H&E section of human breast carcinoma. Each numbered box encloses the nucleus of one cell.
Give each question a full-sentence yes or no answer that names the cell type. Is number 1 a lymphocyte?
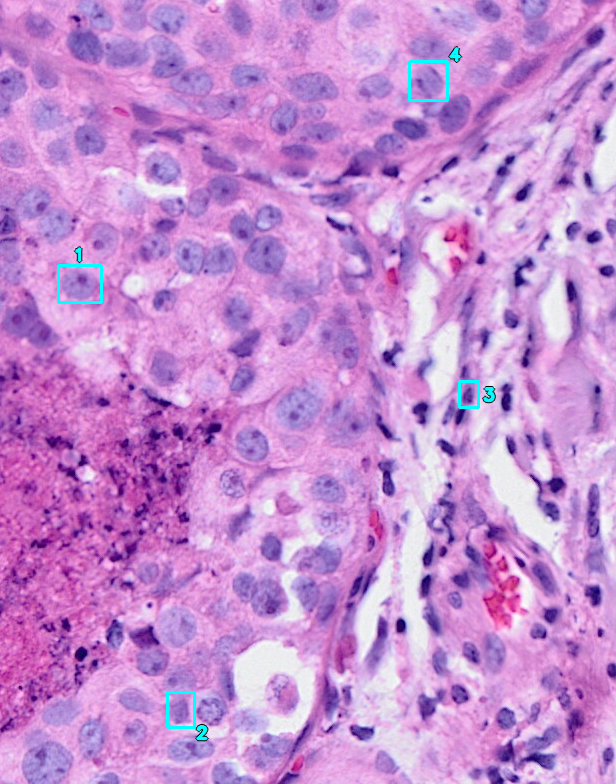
No, the right label for cell 1 is a carcinoma cell rather than a lymphocyte.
